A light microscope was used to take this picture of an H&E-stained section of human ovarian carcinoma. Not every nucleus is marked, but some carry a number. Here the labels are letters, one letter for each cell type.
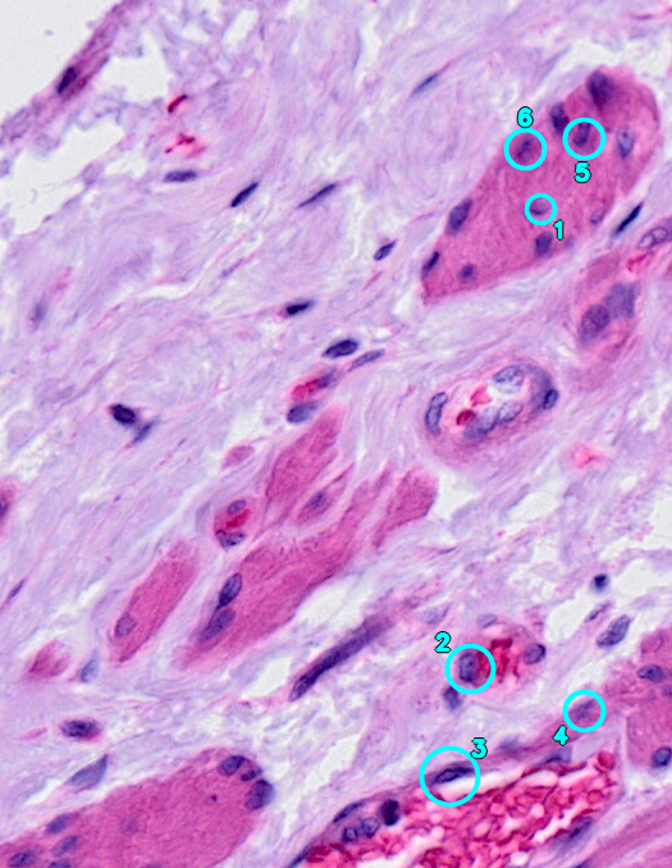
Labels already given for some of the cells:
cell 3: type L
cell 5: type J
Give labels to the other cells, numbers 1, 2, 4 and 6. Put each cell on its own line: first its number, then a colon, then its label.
1: type J
2: type L
4: type J
6: type J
